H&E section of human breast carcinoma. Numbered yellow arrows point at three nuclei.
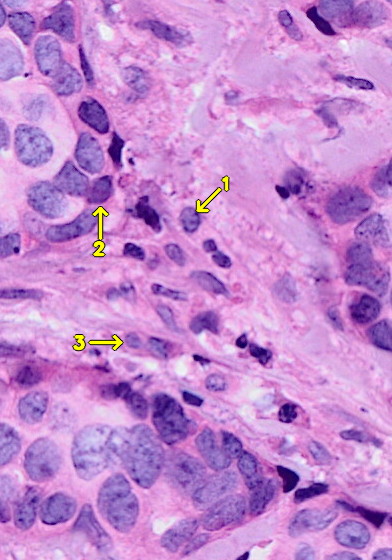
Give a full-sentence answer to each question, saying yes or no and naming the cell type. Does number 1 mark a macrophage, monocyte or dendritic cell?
Yes, within this section, cell number 1 is a macrophage, monocyte or dendritic cell.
